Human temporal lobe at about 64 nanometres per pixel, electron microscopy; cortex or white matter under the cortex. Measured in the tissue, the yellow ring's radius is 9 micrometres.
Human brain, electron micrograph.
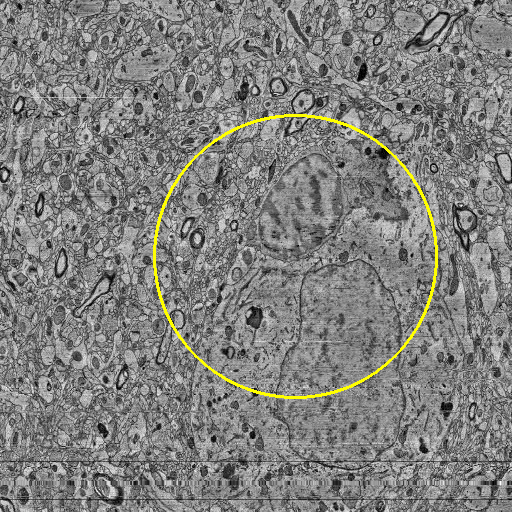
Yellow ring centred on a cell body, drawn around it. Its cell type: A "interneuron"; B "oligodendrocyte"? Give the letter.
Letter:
B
